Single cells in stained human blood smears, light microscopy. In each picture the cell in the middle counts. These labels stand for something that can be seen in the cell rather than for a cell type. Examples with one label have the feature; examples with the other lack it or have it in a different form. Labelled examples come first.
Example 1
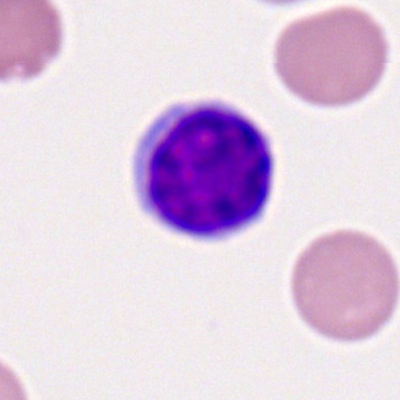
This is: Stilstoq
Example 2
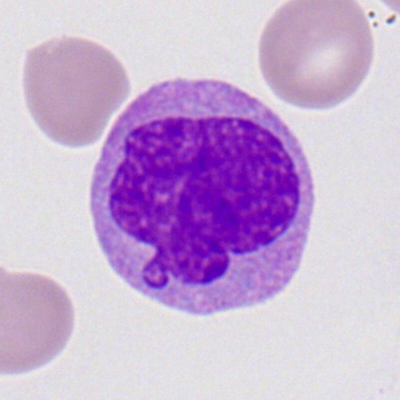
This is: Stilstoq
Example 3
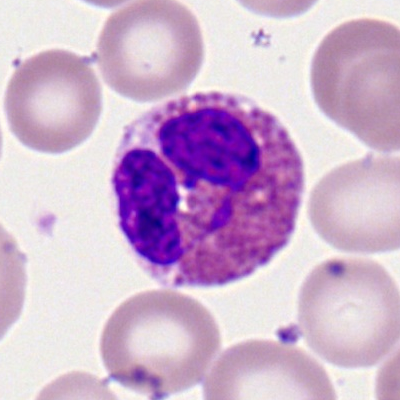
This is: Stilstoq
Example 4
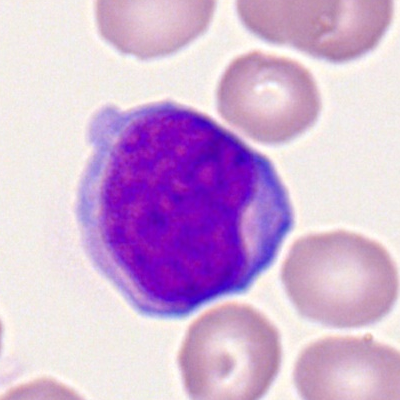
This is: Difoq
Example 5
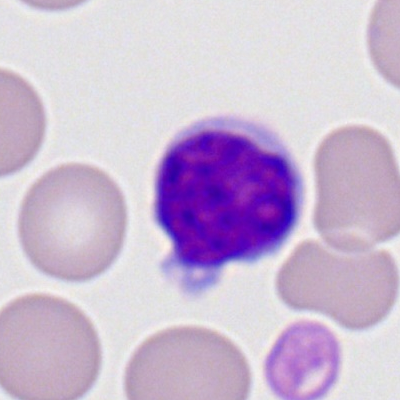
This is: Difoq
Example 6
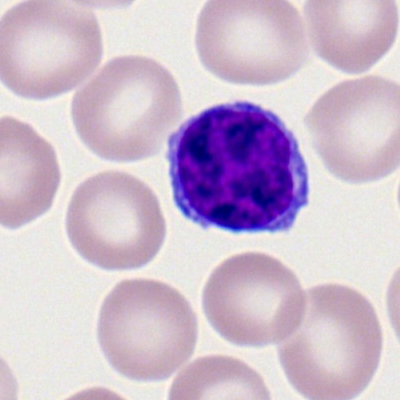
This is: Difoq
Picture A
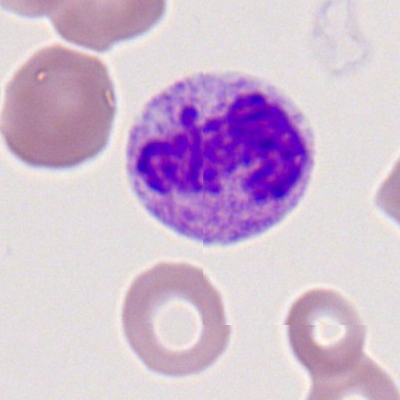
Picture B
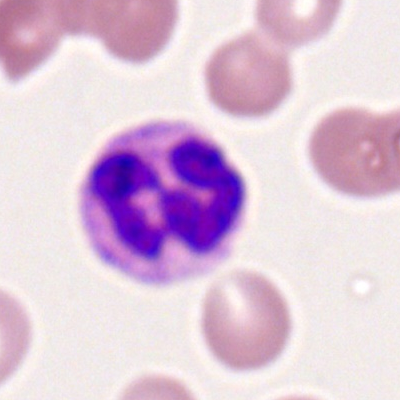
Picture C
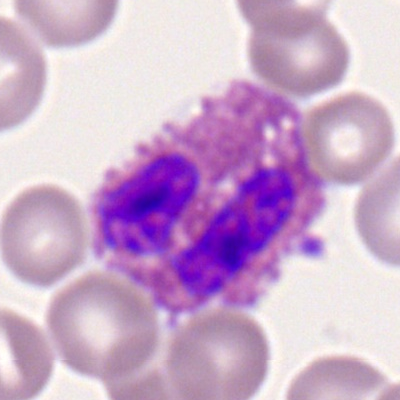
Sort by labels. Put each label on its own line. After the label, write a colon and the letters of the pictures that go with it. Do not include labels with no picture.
Stilstoq: A, B
Difoq: C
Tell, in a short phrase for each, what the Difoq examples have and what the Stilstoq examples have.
Difoq: ragged outline or projections; Stilstoq: smooth outline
